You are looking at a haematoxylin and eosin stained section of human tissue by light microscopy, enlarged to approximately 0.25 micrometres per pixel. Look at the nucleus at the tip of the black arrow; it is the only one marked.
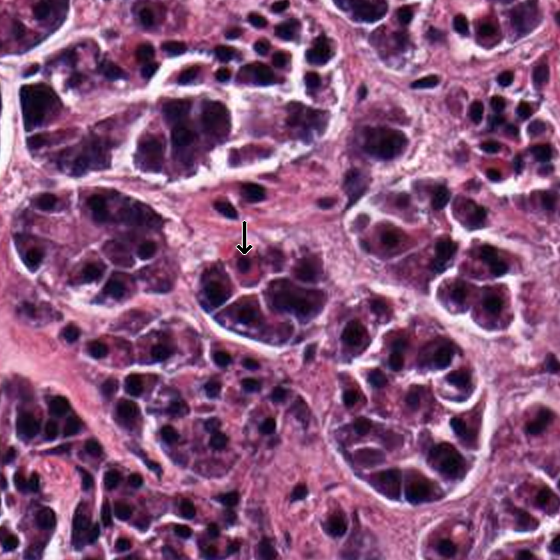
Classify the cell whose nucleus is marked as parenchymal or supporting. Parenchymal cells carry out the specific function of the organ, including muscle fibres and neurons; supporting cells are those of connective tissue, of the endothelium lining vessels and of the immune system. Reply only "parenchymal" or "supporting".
parenchymal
